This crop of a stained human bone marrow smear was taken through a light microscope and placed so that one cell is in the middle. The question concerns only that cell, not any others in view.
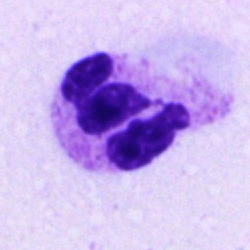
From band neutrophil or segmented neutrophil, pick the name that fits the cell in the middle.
segmented neutrophil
